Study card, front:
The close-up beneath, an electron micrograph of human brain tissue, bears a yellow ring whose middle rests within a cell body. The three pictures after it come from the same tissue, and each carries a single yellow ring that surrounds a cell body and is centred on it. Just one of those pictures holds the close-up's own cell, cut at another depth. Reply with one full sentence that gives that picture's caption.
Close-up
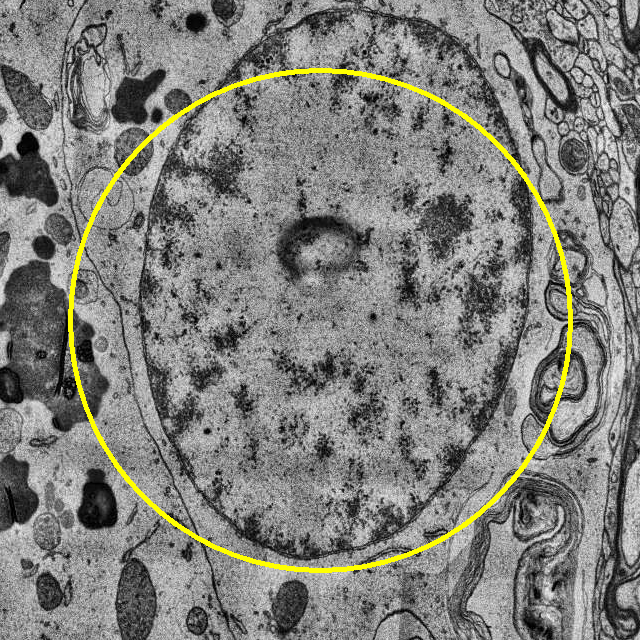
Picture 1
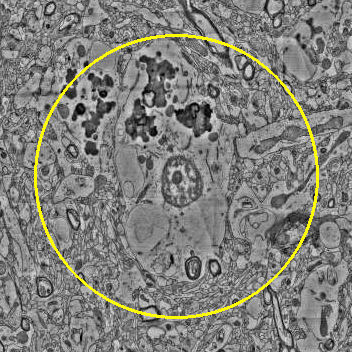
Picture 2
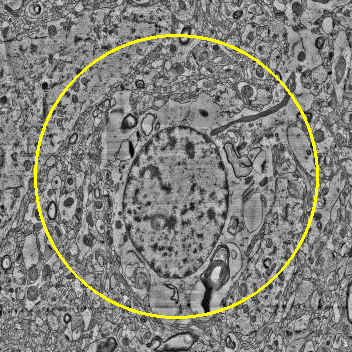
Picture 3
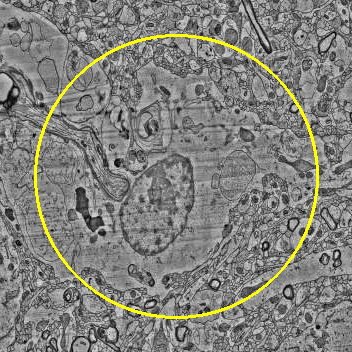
The close-up depicts the ringed cell from Picture 1.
